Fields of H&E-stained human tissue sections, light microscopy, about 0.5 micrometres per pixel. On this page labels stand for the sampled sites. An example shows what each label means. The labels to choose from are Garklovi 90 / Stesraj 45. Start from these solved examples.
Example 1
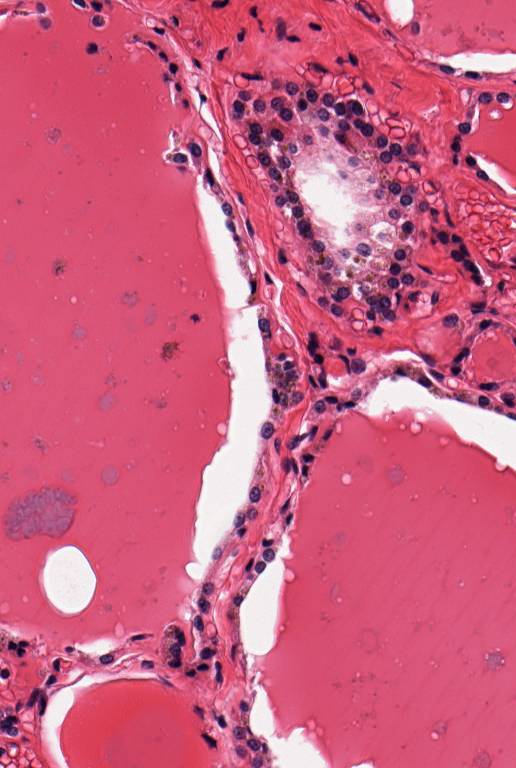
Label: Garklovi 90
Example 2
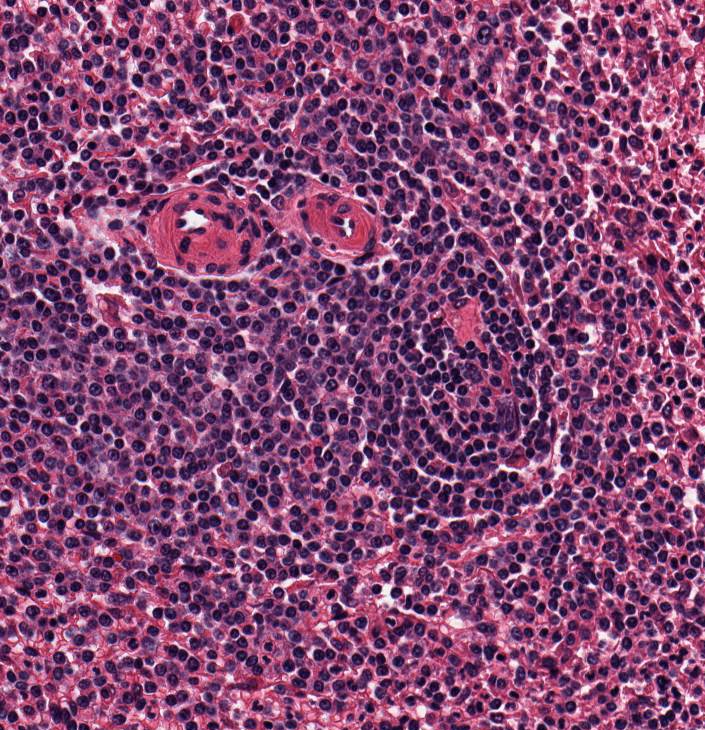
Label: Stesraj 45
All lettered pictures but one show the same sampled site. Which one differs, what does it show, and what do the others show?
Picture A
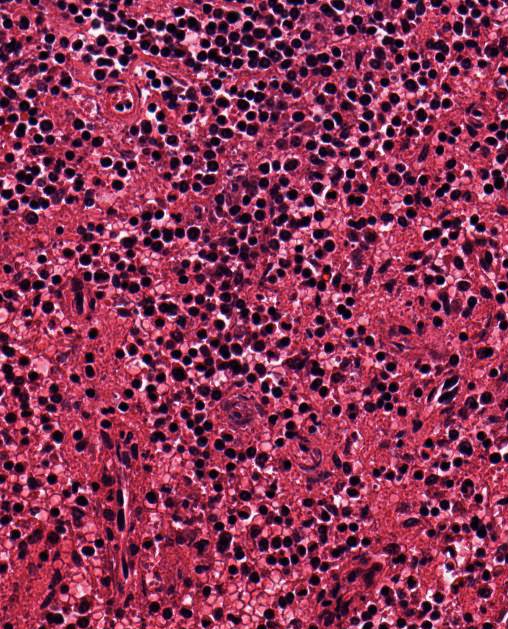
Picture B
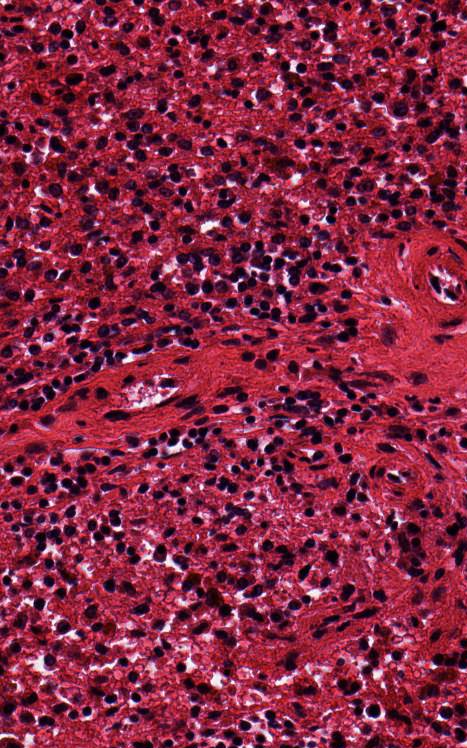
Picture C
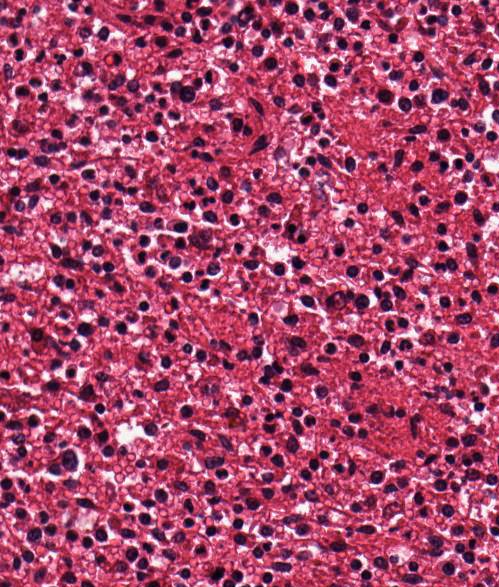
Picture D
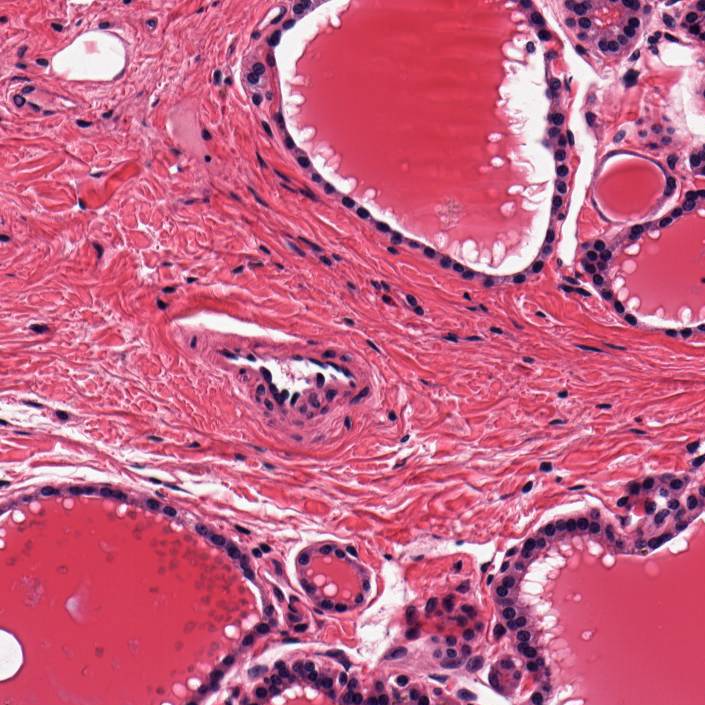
D differs and shows Garklovi 90; the others show Stesraj 45.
